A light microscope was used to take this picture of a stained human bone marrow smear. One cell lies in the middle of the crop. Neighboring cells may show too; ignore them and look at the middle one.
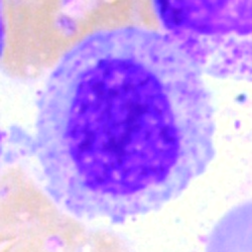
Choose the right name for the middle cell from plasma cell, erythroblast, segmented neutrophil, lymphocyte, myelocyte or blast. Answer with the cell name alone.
myelocyte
